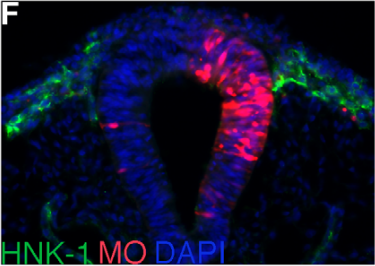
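This is a transverse section through the neural tube, with nuclei in blue outlining a tall epithelium that surrounds a central, roughly triangular lumen. Red-filled cells are concentrated in the right wall of the tube, stretching across the thickness of the epithelium, while the left wall is almost free of red. These green cells appear on both sides in similar amounts, spreading laterally away from the dorsal part of the tube.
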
